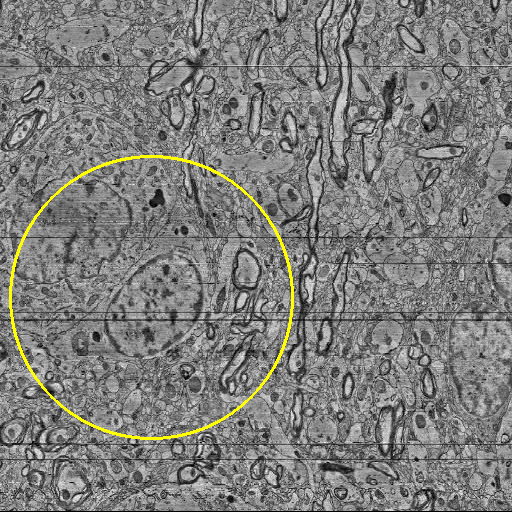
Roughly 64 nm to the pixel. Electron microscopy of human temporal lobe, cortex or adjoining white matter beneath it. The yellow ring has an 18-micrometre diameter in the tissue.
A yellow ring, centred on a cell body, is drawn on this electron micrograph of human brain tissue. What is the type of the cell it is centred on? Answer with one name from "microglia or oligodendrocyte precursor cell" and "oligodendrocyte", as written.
microglia or oligodendrocyte precursor cell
